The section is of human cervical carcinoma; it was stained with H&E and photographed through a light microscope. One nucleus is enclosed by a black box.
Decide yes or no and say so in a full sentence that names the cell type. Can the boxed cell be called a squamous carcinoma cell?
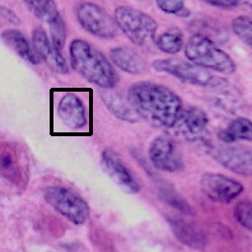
Yes, the identification of the boxed cell as a squamous carcinoma cell stands.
